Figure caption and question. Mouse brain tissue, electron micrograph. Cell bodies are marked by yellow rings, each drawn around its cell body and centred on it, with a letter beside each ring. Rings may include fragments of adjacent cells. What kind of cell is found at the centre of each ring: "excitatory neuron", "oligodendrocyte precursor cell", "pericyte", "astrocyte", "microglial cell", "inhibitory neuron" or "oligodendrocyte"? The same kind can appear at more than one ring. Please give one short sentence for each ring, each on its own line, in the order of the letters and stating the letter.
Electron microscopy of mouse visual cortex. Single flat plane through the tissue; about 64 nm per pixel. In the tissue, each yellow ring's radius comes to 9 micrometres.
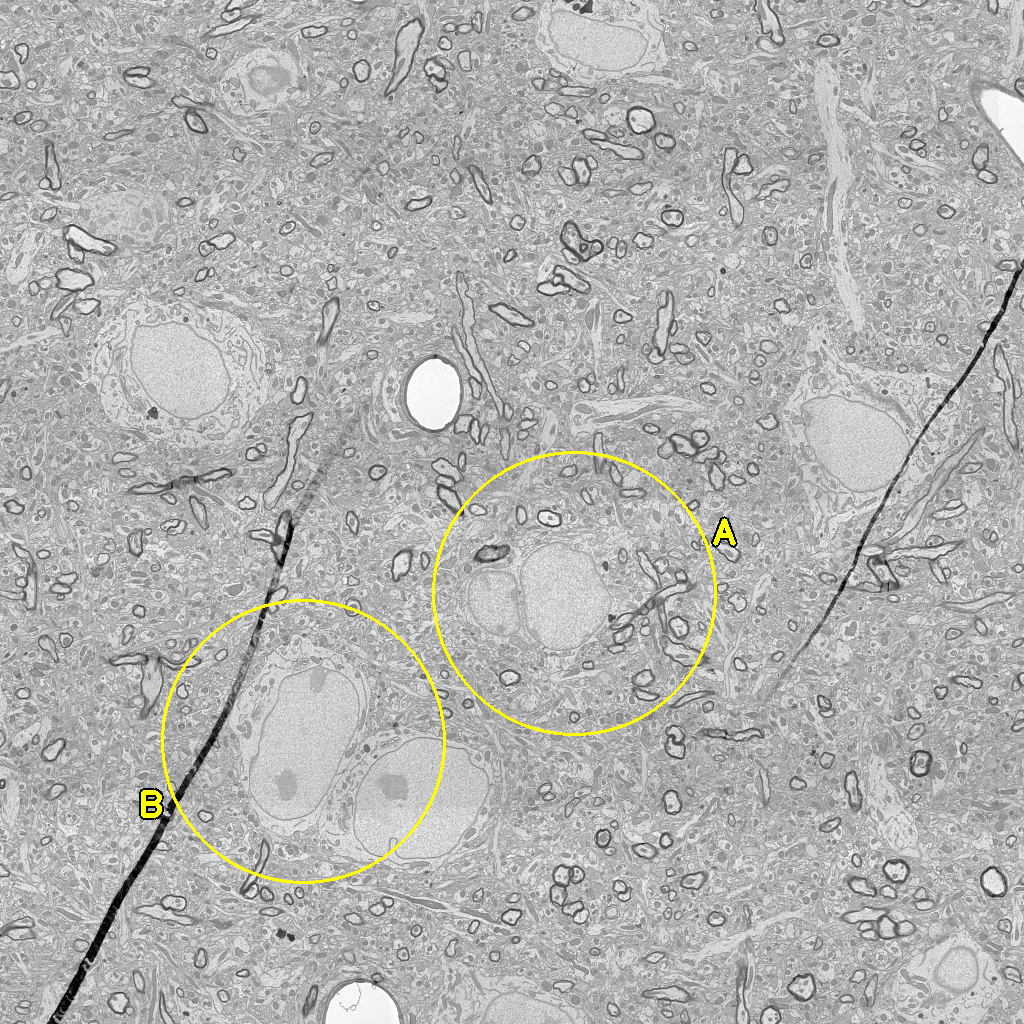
The centre of ring A falls on an astrocyte.
The centre of ring B falls on an excitatory neuron.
